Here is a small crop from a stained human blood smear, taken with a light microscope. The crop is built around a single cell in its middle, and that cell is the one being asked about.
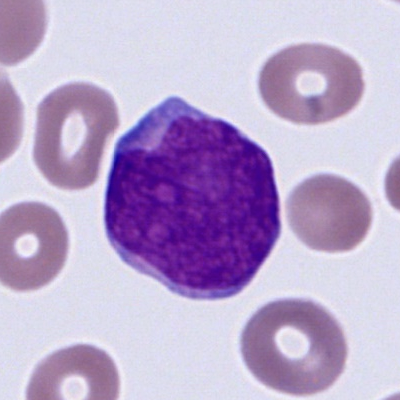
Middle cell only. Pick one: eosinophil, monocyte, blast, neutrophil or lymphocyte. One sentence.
The central cell in this smear crop is a blast.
